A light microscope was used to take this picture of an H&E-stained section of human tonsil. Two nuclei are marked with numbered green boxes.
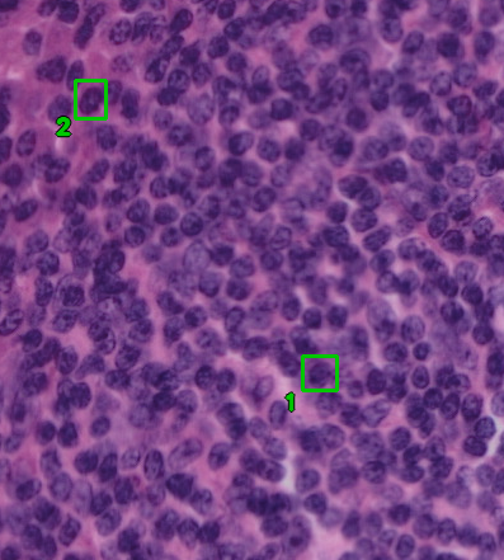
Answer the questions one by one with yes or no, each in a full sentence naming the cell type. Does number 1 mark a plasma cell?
No, number 1 corresponds to a small lymphocyte, not a plasma cell.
